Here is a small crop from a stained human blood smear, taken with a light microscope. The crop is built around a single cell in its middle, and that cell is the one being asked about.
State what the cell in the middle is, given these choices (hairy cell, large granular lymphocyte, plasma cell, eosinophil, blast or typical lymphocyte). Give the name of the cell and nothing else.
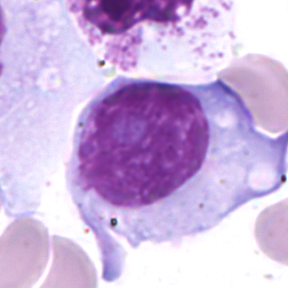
plasma cell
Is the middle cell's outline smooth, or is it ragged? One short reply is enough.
The cell is outlined unevenly, the border being ragged or extended into projections.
